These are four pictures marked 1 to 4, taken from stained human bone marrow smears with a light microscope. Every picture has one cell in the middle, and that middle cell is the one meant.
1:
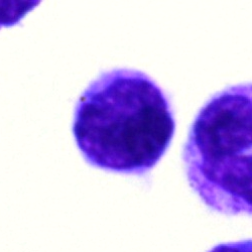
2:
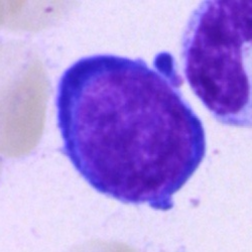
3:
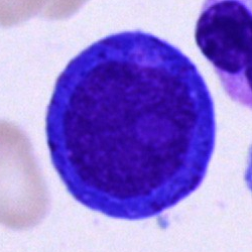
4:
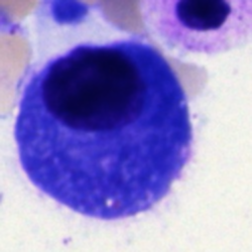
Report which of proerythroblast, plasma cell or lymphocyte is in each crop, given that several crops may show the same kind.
1: lymphocyte
2: proerythroblast
3: proerythroblast
4: plasma cell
